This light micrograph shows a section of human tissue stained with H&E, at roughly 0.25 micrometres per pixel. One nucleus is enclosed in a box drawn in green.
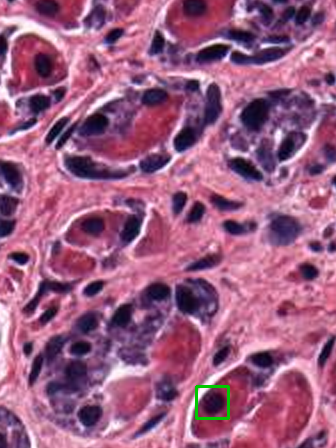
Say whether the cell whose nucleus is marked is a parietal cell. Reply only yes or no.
yes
